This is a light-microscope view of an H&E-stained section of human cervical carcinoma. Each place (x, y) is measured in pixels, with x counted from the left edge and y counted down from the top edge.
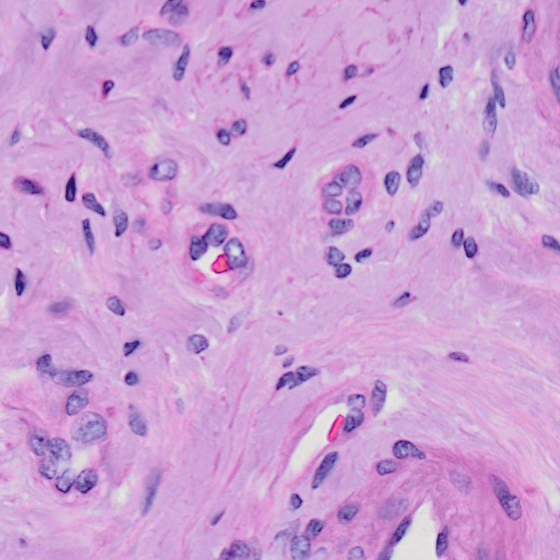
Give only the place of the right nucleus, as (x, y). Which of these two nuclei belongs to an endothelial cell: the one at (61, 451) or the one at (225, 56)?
(61, 451)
